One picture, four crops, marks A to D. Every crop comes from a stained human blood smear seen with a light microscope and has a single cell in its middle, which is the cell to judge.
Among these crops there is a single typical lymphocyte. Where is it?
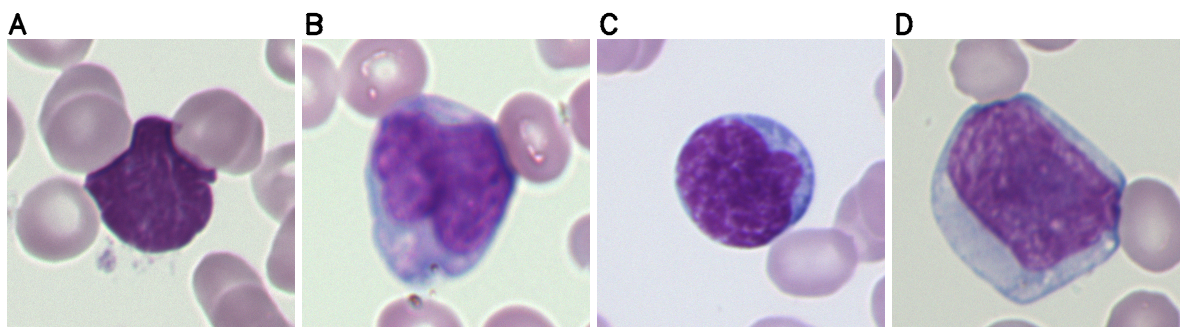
C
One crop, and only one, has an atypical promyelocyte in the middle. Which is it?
B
